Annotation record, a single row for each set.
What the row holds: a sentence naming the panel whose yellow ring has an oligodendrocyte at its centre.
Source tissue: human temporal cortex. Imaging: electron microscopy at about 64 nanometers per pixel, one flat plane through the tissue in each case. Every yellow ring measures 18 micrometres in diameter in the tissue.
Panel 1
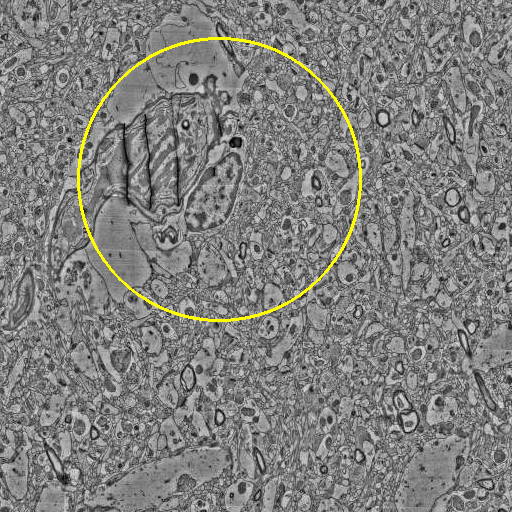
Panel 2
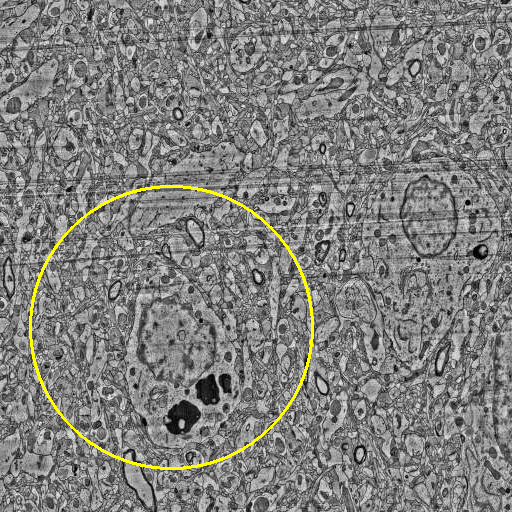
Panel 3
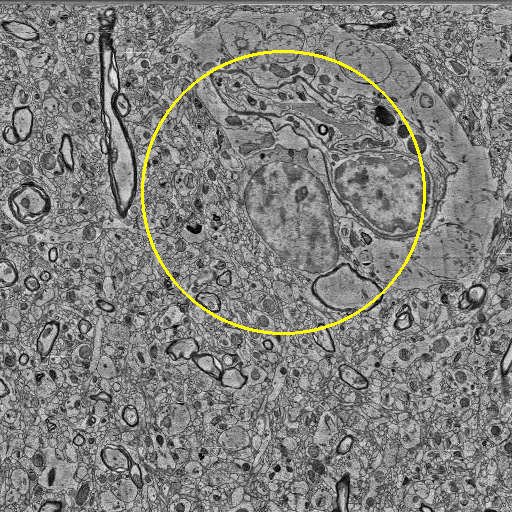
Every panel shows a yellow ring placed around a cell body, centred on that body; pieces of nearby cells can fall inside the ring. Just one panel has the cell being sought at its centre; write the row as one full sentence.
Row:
In panel 3, the cell at the middle of the yellow ring is the one sought.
